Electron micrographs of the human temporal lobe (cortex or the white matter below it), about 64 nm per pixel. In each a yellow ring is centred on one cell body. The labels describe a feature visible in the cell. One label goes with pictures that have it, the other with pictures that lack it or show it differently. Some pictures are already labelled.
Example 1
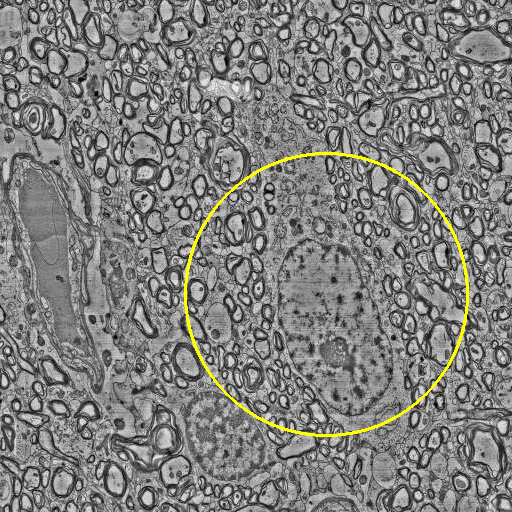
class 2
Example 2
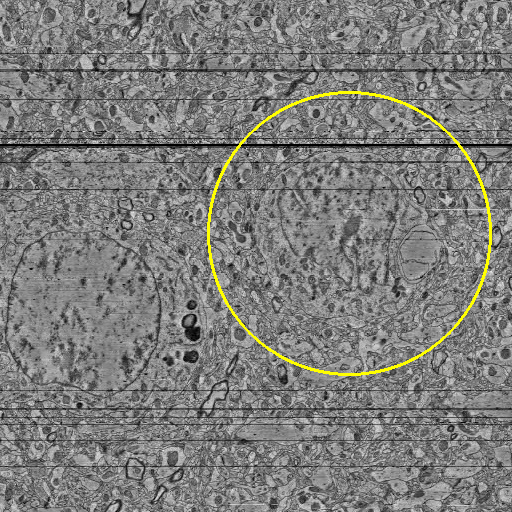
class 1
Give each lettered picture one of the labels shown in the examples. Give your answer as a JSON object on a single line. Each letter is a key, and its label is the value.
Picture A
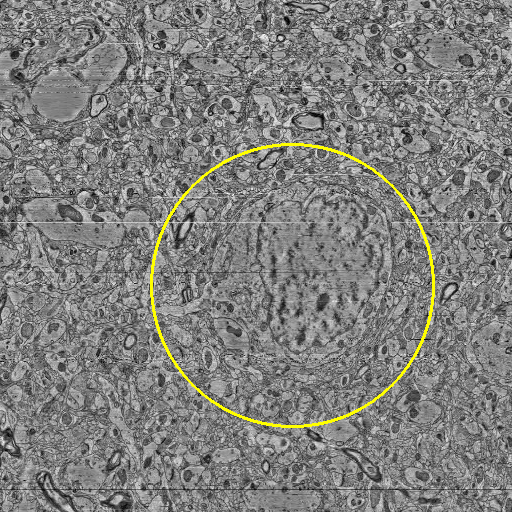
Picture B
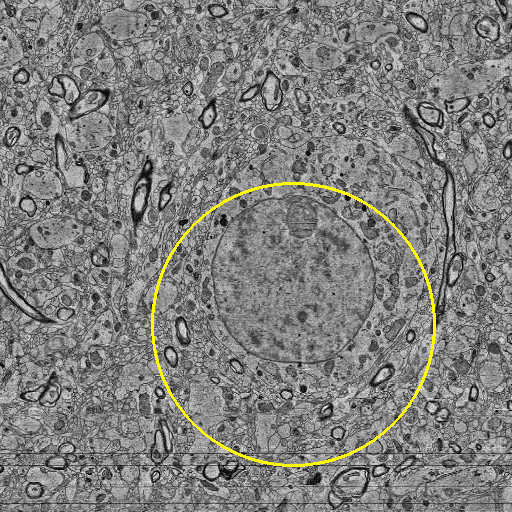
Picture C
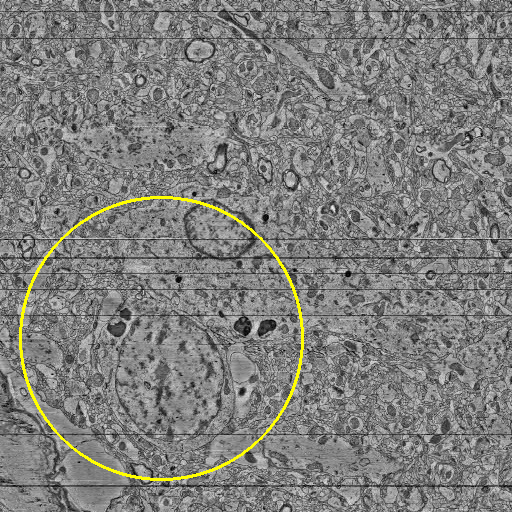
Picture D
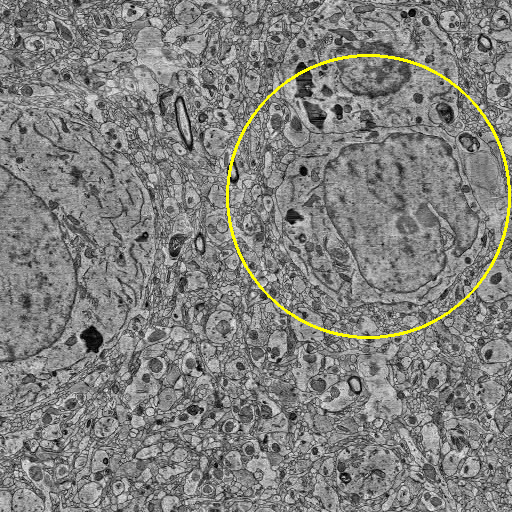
{"A": "class 1", "B": "class 2", "C": "class 2", "D": "class 1"}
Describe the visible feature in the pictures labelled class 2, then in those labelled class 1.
In class 2: smooth nuclear envelopes without deep folds. In class 1: deeply folded or indented nuclear envelopes.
